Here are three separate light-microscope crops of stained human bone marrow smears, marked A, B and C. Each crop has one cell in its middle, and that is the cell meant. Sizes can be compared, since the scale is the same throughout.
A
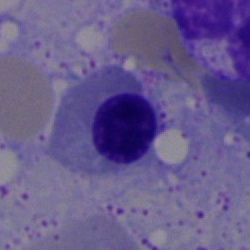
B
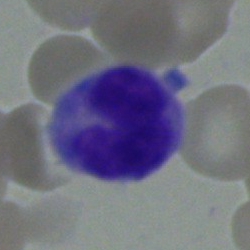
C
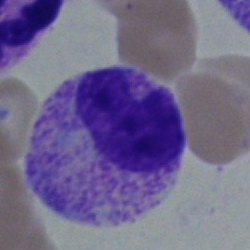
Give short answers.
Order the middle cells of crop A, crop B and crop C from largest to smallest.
C, B, A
